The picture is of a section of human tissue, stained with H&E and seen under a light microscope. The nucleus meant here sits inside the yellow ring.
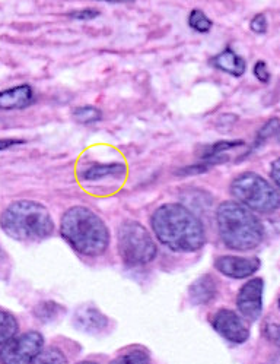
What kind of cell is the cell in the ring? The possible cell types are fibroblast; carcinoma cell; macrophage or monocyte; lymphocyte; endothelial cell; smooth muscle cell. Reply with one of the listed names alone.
fibroblast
